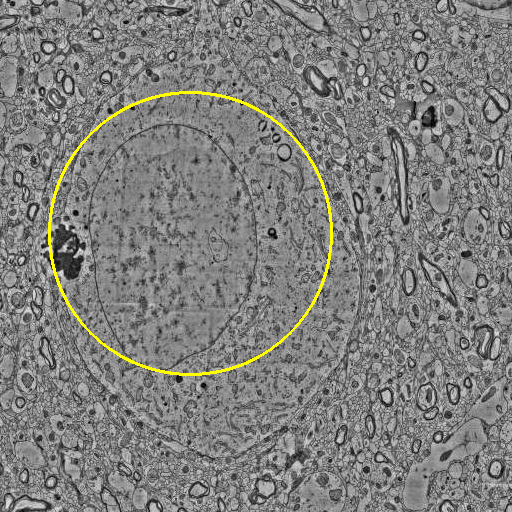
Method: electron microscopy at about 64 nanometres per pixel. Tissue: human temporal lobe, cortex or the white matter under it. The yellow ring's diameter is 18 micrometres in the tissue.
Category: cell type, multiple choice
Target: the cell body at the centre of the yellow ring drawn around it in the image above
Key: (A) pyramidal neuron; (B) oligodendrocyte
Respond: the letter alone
A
